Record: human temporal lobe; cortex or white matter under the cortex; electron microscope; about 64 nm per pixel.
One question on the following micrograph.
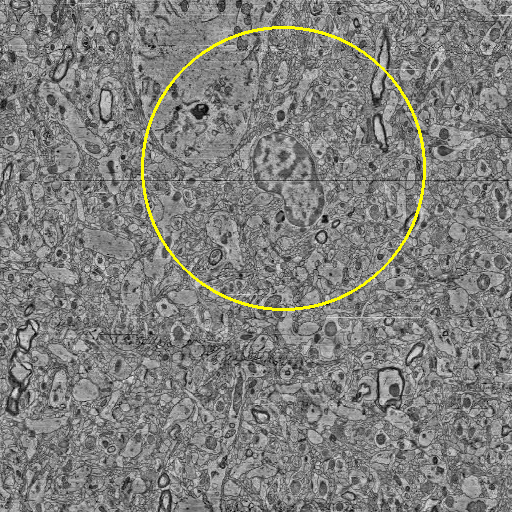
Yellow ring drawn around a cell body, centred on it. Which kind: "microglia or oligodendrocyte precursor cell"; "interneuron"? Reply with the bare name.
microglia or oligodendrocyte precursor cell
